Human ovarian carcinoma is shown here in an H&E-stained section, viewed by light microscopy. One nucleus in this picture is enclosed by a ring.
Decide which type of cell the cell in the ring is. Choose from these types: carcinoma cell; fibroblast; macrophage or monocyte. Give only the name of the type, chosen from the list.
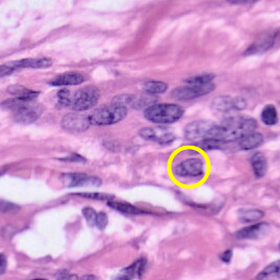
macrophage or monocyte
